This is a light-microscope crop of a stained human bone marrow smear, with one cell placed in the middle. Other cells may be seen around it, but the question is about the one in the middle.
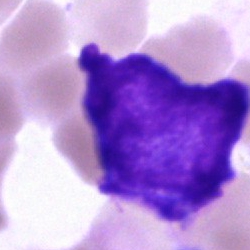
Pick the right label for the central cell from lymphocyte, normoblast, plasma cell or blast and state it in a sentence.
To answer, the cell in the center of the crop is a blast.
